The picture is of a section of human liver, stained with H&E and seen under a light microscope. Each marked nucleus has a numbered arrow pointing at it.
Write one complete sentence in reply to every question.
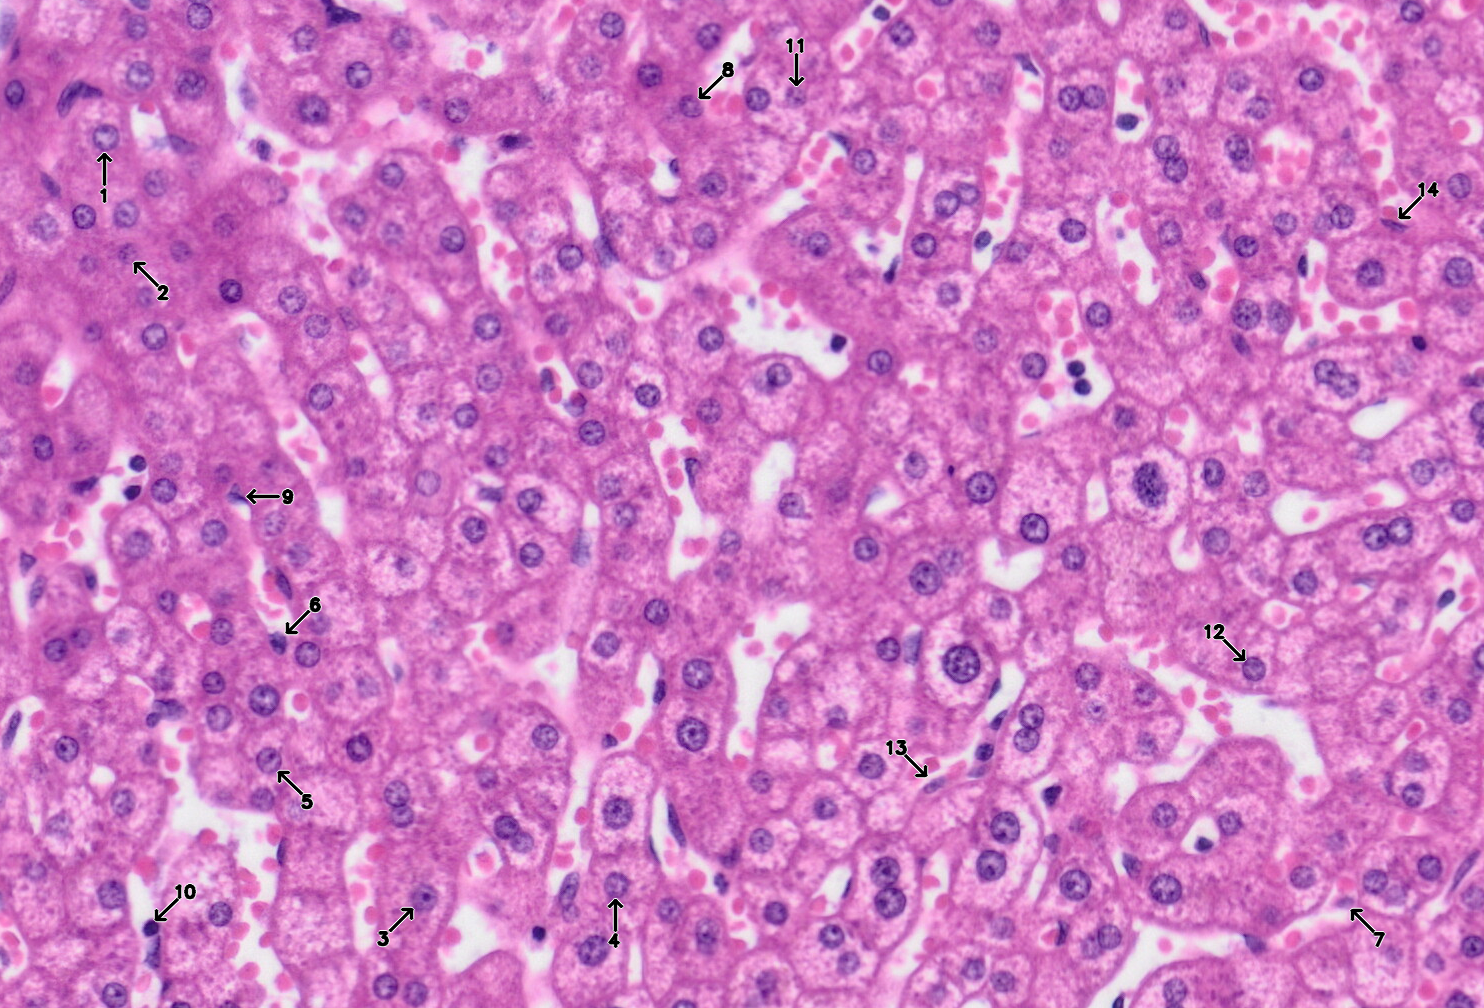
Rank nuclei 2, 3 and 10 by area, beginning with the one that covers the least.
Smallest first, the nuclei run 10, 2, 3.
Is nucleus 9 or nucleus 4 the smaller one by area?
The smaller nucleus is 9, and 4 covers roughly 1.5 times its area.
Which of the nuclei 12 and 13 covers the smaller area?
It is nucleus 13; nucleus 12 has about 2 times its area.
